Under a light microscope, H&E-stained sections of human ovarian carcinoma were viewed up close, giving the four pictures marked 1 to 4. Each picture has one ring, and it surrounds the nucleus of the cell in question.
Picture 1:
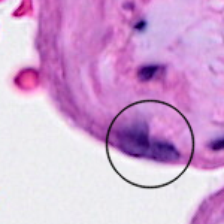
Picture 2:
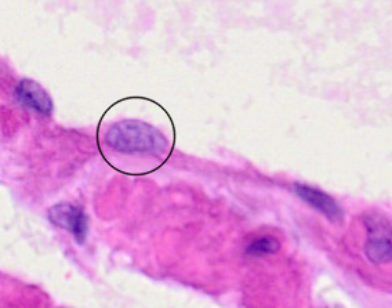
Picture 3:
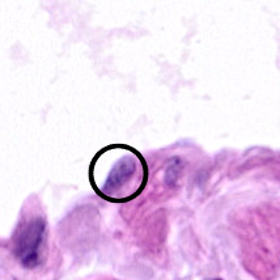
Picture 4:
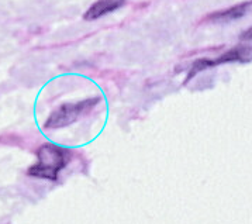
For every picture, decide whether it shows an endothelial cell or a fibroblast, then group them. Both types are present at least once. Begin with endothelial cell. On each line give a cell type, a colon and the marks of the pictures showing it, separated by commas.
endothelial cell: 1, 2, 3
fibroblast: 4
